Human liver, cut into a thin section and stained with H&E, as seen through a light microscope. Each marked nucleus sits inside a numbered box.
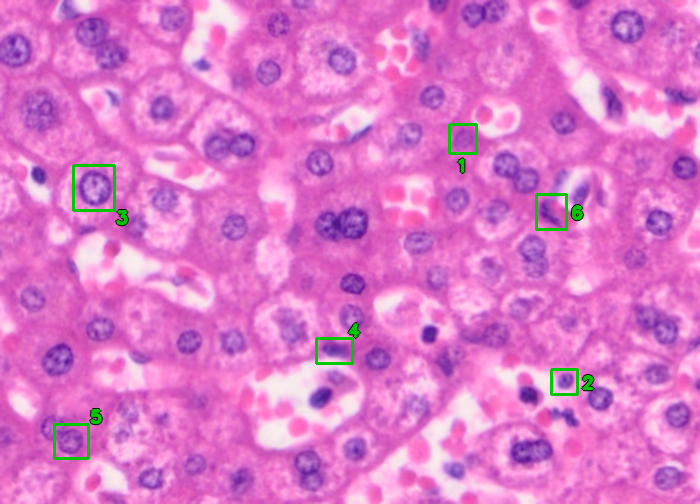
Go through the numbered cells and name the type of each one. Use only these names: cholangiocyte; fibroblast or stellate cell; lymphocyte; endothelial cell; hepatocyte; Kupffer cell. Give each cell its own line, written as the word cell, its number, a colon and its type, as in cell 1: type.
cell 1: hepatocyte
cell 2: lymphocyte
cell 3: hepatocyte
cell 4: fibroblast or stellate cell
cell 5: hepatocyte
cell 6: fibroblast or stellate cell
